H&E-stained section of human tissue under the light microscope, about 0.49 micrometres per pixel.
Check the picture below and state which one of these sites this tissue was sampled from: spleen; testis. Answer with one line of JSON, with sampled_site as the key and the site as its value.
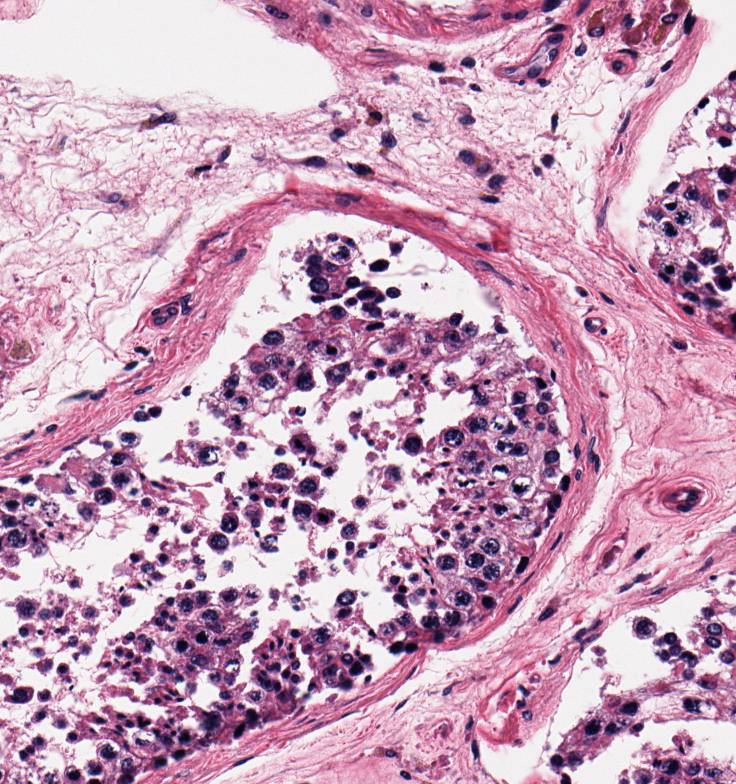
{"sampled_site": "testis"}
